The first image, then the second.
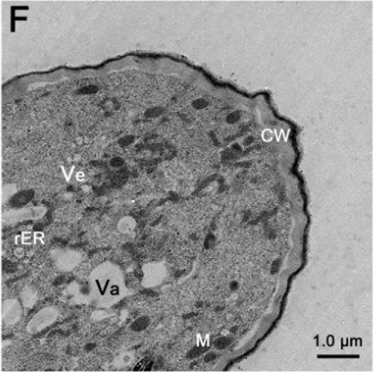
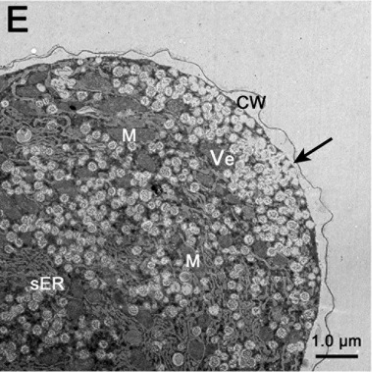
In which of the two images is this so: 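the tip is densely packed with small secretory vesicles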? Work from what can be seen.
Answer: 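First image: only scattered vesicles in the tip, with irregular pale vacuoles among the organelles. Second image: hundreds of small pale round vesicles crowd the region beneath the wall. So: the second image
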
